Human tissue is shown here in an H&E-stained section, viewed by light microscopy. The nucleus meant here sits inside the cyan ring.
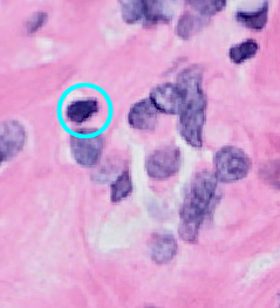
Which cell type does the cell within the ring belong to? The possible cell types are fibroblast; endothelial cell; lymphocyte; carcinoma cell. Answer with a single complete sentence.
Within the stained tissue, the cell within the ring is a lymphocyte.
